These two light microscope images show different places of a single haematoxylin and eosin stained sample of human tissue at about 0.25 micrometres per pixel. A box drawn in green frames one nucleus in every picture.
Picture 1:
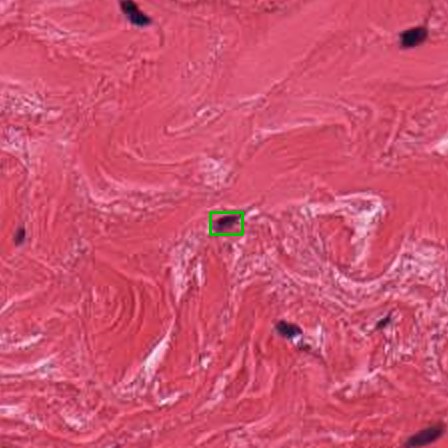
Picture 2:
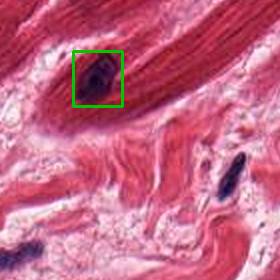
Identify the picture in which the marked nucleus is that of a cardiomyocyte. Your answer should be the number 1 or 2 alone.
2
